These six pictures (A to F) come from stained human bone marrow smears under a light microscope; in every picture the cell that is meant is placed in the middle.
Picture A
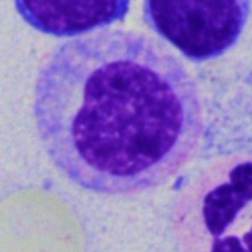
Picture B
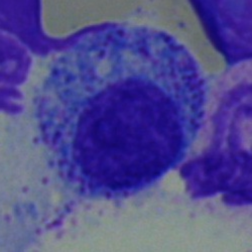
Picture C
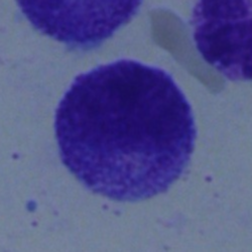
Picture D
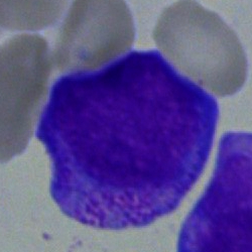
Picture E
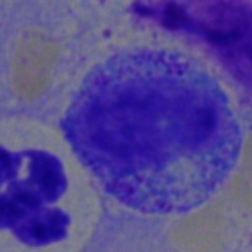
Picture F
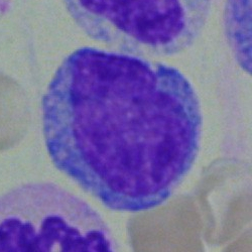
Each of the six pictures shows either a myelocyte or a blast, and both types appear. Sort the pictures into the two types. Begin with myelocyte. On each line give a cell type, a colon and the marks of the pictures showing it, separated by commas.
myelocyte: A, B, C, E
blast: D, F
